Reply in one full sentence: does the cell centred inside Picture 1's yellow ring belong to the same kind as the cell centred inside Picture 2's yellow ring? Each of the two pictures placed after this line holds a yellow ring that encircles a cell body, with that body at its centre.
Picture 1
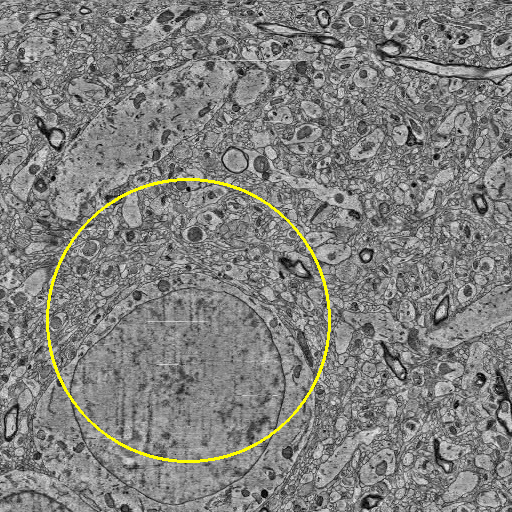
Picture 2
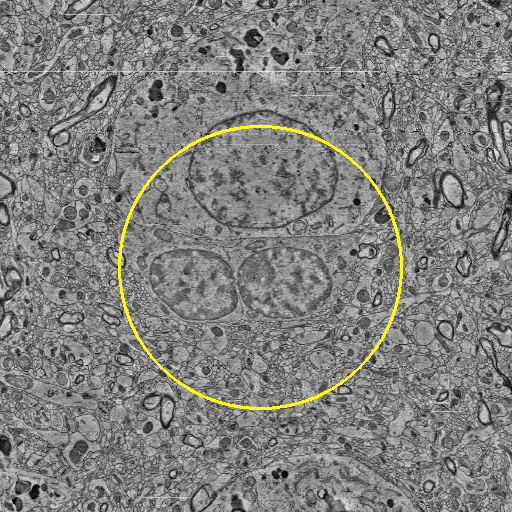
No, the ring-centred cells in Picture 1 and Picture 2 are of two separate kinds.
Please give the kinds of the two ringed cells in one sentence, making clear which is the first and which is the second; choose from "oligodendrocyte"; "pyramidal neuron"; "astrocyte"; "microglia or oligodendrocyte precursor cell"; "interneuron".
In the second picture the ringed cell is an oligodendrocyte; in the first it is a pyramidal neuron.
